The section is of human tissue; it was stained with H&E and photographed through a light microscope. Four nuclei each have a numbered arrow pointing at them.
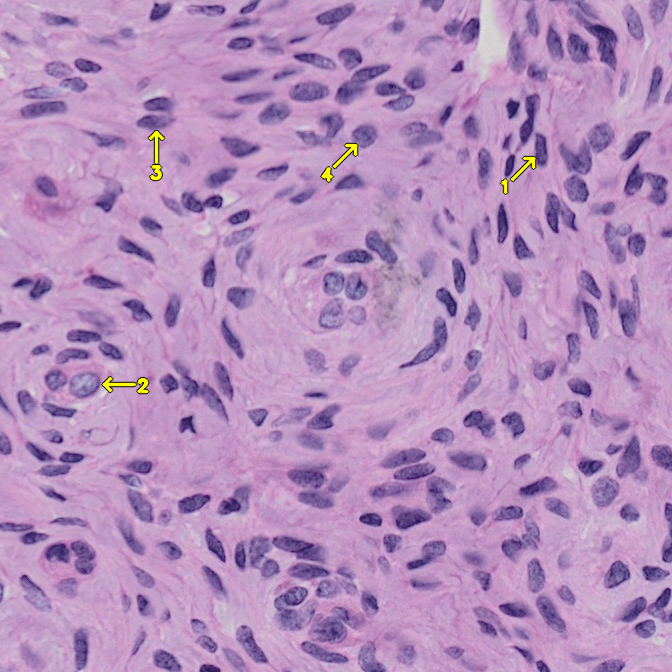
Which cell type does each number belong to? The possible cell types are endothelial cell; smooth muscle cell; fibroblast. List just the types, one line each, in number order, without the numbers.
fibroblast
endothelial cell
fibroblast
fibroblast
